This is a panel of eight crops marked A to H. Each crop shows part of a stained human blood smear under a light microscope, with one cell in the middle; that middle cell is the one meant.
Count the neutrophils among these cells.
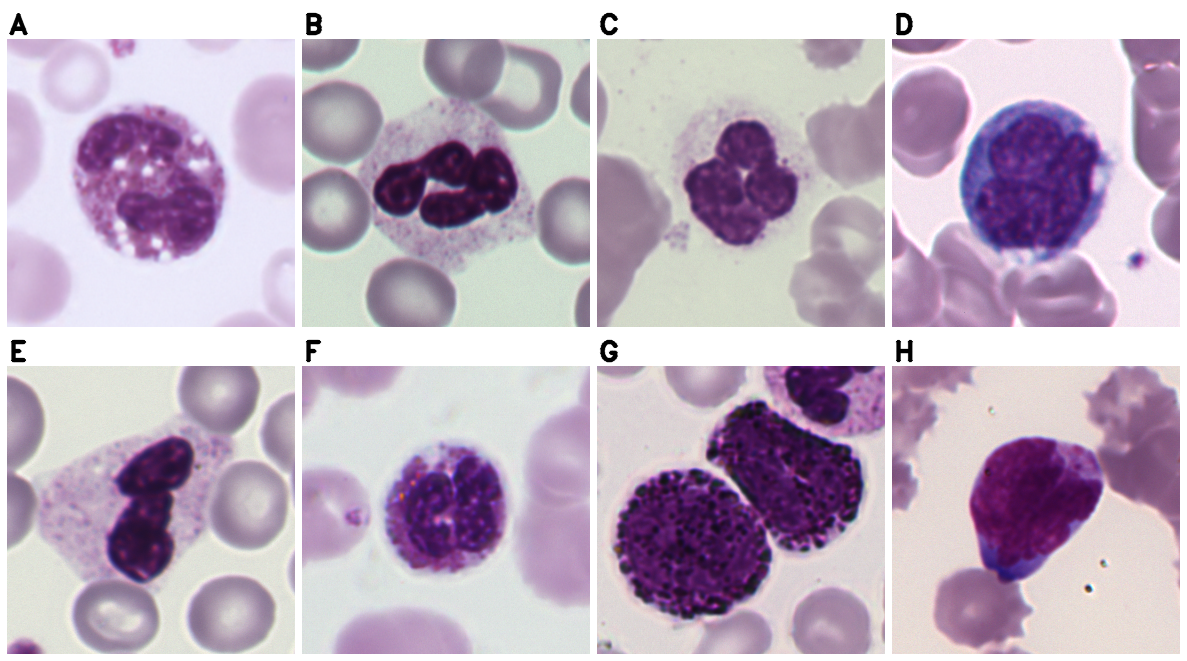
3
